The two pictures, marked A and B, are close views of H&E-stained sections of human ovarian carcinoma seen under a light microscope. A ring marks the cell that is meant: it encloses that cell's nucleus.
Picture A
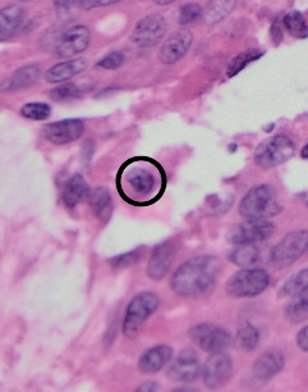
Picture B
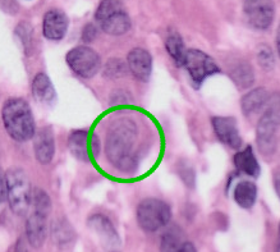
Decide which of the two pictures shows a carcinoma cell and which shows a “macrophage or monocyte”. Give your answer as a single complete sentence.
In picture A the cell is a “macrophage or monocyte”; in picture B, a carcinoma cell.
